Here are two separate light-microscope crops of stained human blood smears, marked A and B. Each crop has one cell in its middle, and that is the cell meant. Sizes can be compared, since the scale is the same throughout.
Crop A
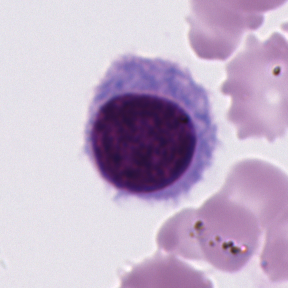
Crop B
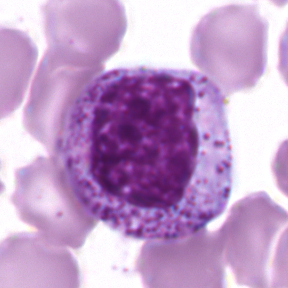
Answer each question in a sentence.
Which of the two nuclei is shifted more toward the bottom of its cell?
In crop A the nucleus is shifted more toward the bottom.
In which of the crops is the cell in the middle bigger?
Larger is the cell in crop B, at roughly 1.5 times the area of the other.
